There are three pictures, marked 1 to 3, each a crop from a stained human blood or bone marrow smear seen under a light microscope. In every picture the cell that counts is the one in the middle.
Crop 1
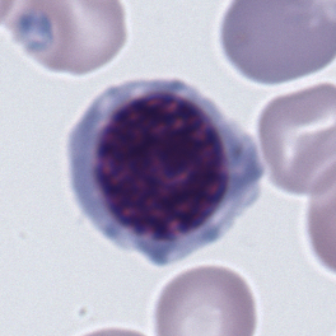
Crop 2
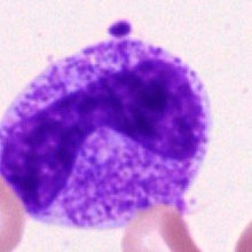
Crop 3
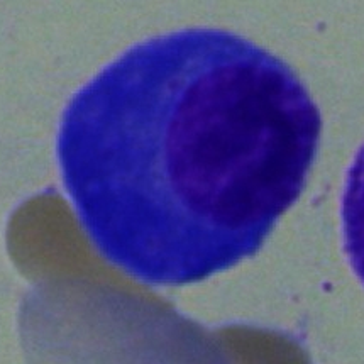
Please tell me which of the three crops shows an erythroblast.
1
